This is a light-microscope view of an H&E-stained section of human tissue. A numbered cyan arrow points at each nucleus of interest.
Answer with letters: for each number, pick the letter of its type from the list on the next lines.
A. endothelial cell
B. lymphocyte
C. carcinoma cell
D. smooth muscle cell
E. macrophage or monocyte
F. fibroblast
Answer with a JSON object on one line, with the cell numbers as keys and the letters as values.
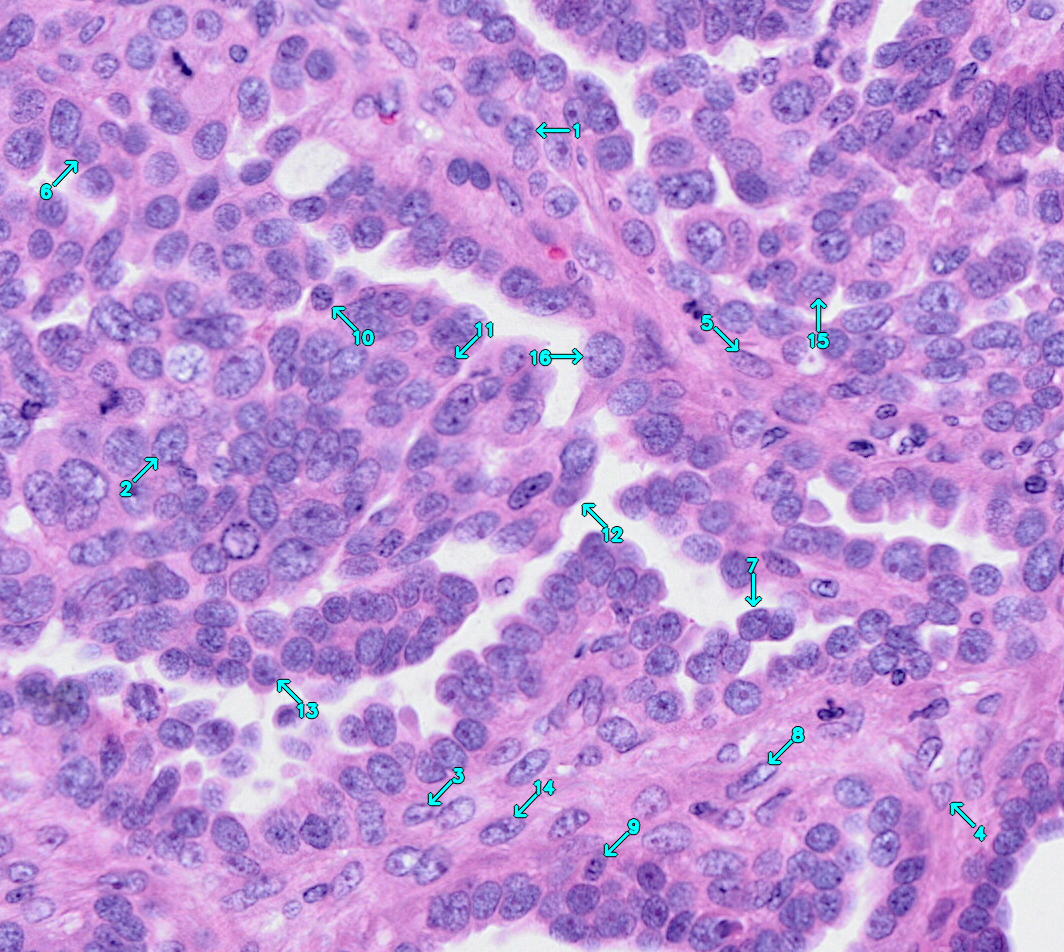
{"1": "C", "2": "C", "3": "F", "4": "F", "5": "F", "6": "C", "7": "C", "8": "F", "9": "E", "10": "E", "11": "C", "12": "C", "13": "C", "14": "F", "15": "C", "16": "C"}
